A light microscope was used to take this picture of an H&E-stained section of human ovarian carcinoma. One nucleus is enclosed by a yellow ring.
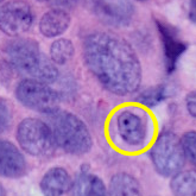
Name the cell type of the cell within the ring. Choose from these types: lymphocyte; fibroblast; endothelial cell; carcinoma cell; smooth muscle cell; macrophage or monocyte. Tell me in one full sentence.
The identity of the cell within the ring is that of a macrophage or monocyte.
